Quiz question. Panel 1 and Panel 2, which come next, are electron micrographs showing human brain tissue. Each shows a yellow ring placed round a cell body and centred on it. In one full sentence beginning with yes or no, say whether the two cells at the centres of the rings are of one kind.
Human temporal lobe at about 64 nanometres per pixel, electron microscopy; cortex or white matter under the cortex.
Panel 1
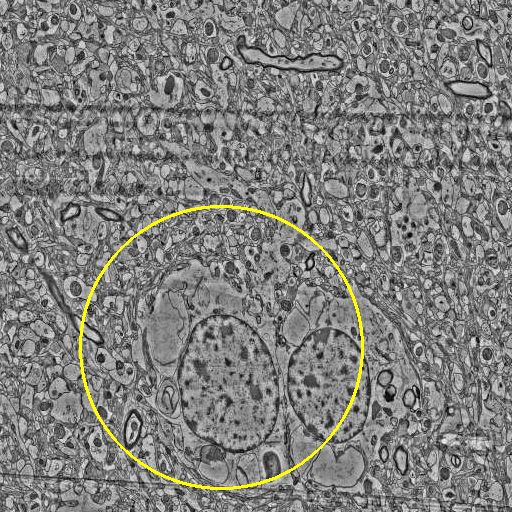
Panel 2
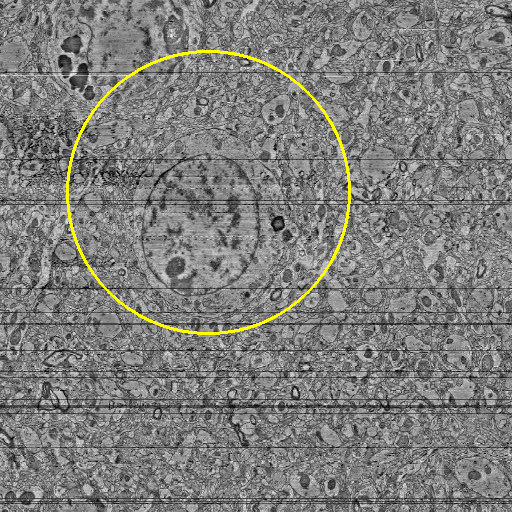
No, Panel 1 and Panel 2 show two kinds of cell at the centre of the ring.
